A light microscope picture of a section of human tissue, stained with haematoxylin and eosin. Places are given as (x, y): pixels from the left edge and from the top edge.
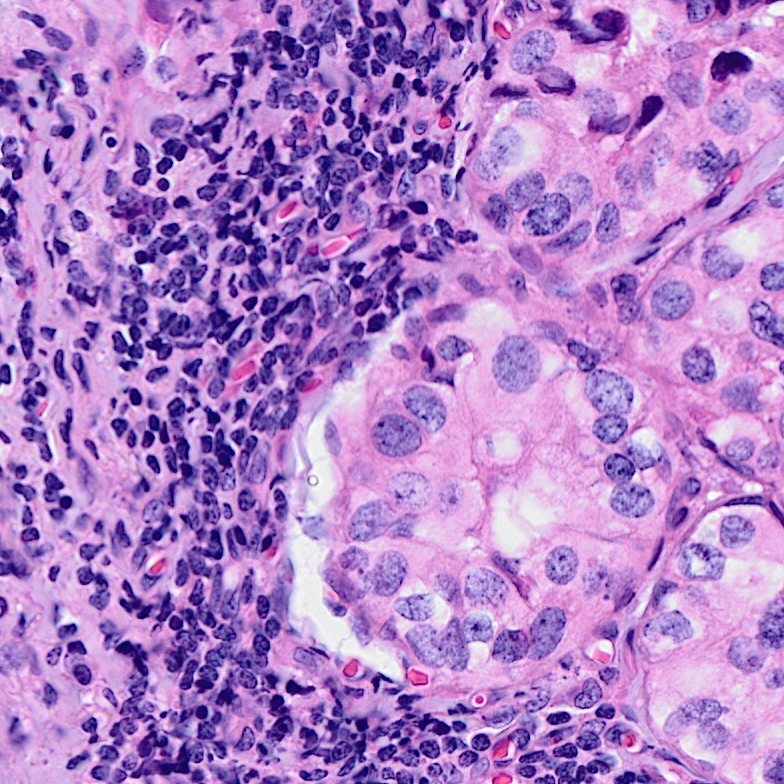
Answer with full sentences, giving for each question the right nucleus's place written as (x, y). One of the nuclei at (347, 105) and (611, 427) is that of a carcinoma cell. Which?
So, of the two, the nucleus at (611, 427) is the one belonging to a carcinoma cell.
